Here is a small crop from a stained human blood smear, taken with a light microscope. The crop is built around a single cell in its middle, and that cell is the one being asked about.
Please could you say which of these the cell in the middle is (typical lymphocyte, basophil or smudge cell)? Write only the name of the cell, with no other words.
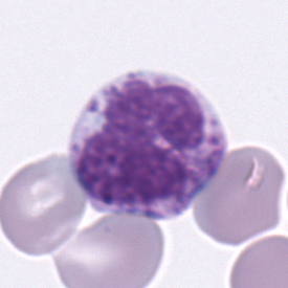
basophil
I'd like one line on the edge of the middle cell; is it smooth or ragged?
Smooth edges only, with no spikes, blebs, or other projections.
